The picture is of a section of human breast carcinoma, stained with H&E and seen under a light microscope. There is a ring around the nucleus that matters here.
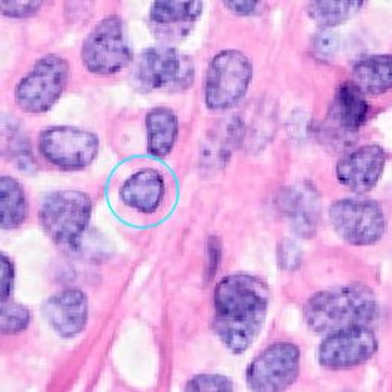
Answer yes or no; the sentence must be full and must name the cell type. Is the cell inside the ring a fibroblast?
No, the cell inside the ring is termed a carcinoma cell, not a fibroblast.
